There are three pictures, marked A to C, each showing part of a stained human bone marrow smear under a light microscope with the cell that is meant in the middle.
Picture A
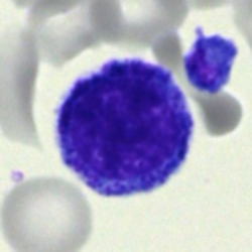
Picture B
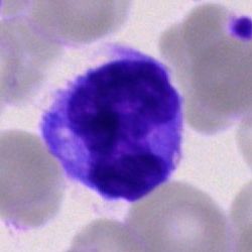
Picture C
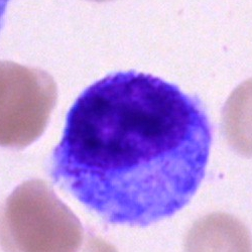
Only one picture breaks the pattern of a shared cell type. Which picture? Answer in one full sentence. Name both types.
Unlike the rest, which show promyelocytes, picture B shows a monocyte.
